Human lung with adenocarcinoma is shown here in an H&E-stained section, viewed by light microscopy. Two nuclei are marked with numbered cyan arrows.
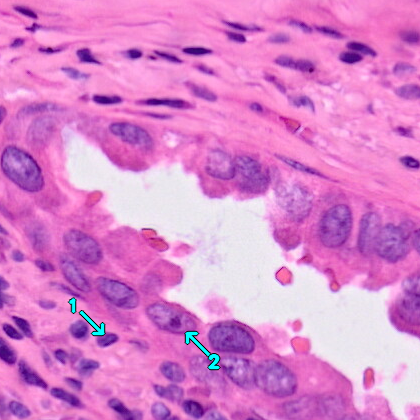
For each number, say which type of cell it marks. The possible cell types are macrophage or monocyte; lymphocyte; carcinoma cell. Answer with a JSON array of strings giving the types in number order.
["lymphocyte", "carcinoma cell"]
